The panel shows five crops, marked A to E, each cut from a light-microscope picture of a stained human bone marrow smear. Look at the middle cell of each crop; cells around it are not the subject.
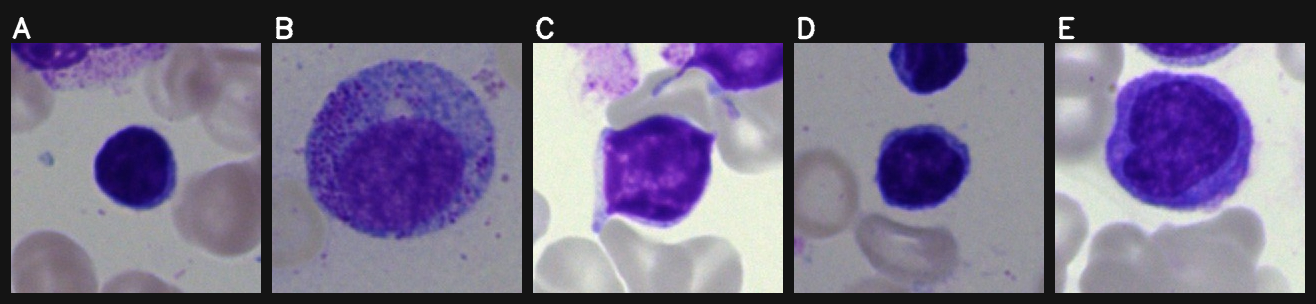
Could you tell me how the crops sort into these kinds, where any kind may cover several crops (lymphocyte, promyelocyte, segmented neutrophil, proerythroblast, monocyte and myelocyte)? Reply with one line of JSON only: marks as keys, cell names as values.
{"A": "lymphocyte", "B": "promyelocyte", "C": "lymphocyte", "D": "lymphocyte", "E": "monocyte"}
